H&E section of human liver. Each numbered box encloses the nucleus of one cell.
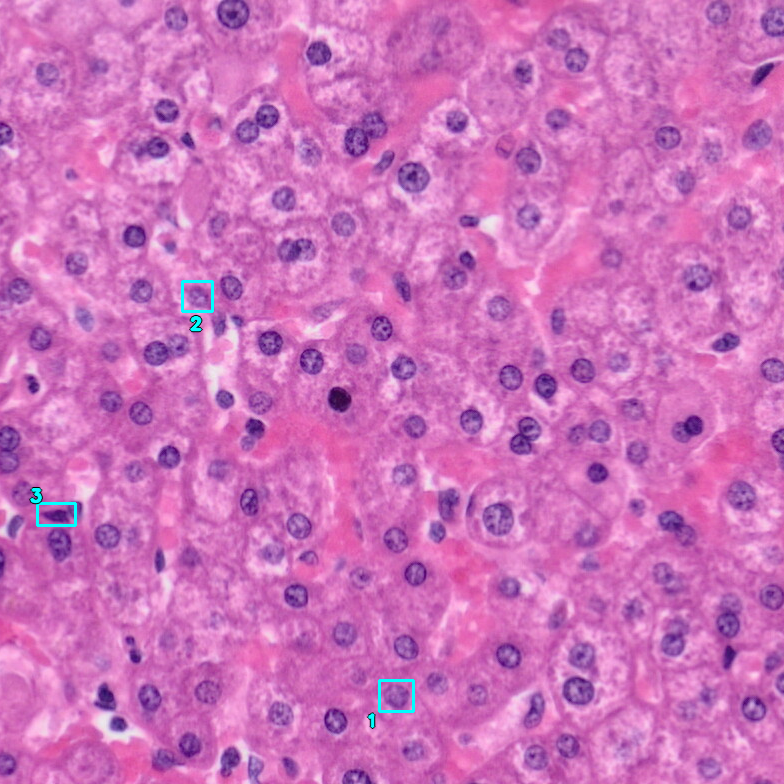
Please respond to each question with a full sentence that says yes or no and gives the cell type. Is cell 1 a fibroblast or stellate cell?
No, the one with number 1 is a hepatocyte, not a fibroblast or stellate cell.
